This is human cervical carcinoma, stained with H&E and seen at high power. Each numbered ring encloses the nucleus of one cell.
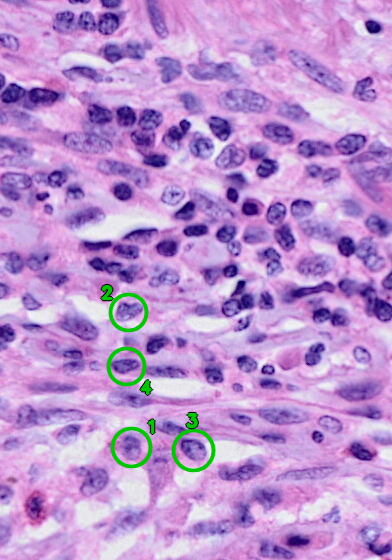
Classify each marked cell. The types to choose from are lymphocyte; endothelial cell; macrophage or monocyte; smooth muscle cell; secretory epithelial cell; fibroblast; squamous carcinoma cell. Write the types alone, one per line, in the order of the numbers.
macrophage or monocyte
lymphocyte
macrophage or monocyte
lymphocyte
